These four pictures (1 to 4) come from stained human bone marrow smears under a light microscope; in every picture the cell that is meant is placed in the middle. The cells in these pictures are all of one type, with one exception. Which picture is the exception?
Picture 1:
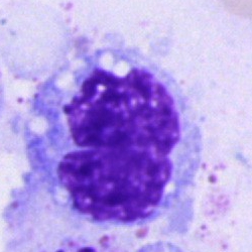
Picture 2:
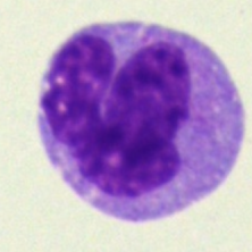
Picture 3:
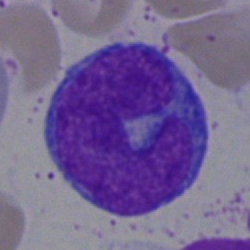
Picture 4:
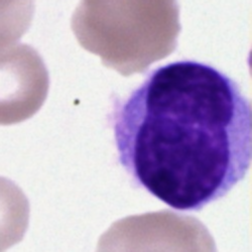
4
